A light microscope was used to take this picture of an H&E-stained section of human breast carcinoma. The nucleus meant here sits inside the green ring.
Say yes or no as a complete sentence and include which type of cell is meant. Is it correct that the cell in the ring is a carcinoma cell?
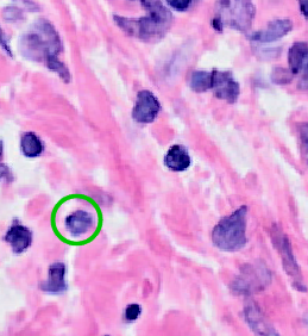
No, the cell in the ring is not a carcinoma cell; the correct answer is a lymphocyte.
